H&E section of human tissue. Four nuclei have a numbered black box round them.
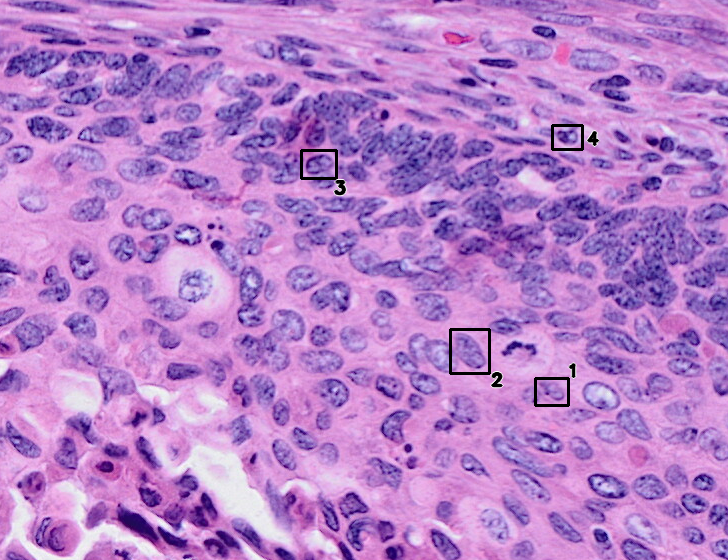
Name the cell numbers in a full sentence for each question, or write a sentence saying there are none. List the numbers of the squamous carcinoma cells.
The cells the numbers 1, 2 and 3 point to are squamous carcinoma cells.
